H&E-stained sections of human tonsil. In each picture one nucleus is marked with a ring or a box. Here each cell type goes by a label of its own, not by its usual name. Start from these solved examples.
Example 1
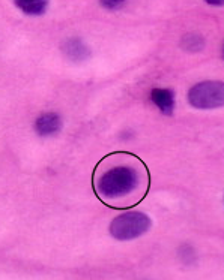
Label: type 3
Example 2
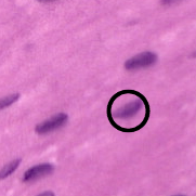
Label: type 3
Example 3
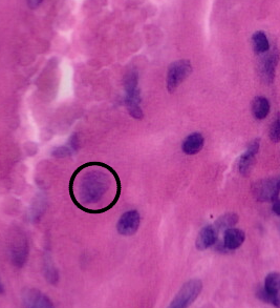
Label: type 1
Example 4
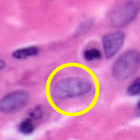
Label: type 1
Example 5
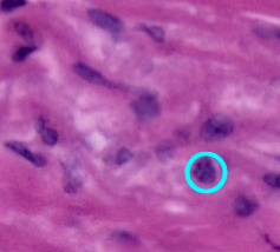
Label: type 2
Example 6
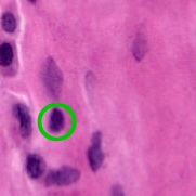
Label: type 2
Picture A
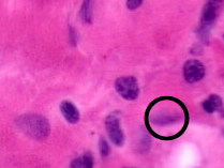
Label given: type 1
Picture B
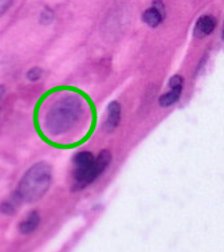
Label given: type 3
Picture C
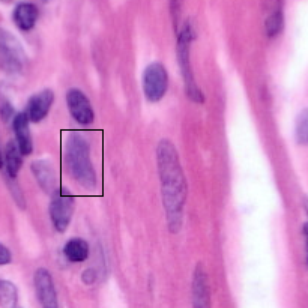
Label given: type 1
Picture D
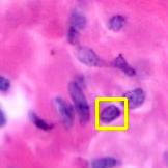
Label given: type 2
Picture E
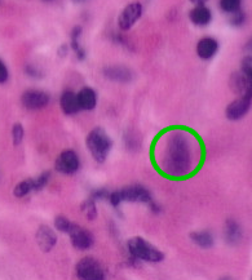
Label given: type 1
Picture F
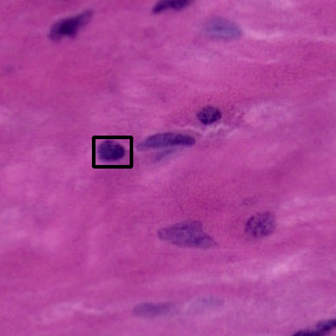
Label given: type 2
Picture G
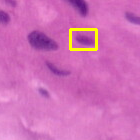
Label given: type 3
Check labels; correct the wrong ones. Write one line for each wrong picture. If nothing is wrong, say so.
All labels are correct.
